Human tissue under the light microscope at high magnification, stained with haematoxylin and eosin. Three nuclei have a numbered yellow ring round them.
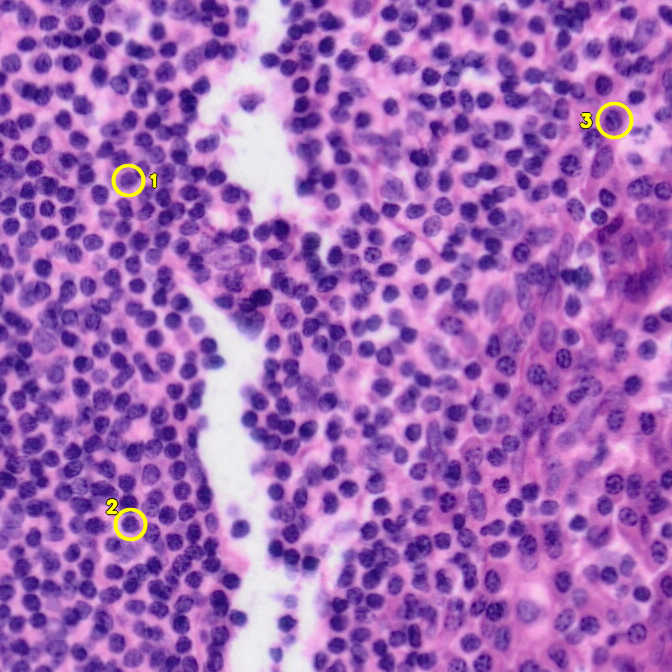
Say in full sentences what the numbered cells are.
Cell 1 is a small lymphocyte, cell 2 is a small lymphocyte and cell 3 is a plasma cell.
